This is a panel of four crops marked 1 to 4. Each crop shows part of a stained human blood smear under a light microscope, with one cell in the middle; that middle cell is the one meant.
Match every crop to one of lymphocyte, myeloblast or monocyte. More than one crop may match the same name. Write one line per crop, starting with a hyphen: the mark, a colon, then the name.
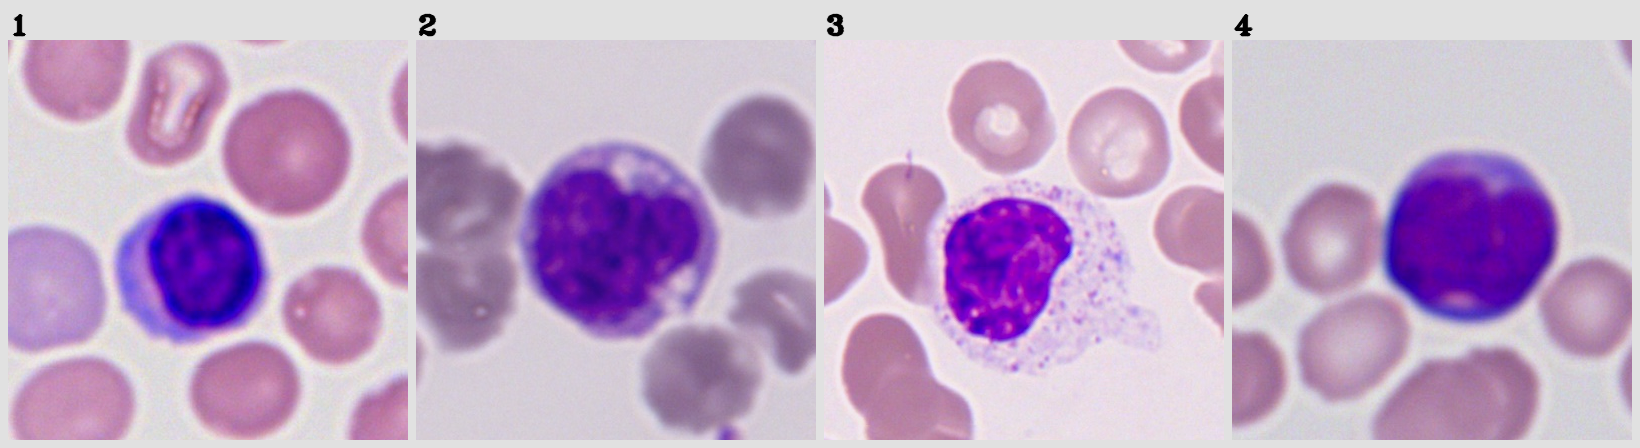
- 1: lymphocyte
- 2: monocyte
- 3: lymphocyte
- 4: myeloblast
